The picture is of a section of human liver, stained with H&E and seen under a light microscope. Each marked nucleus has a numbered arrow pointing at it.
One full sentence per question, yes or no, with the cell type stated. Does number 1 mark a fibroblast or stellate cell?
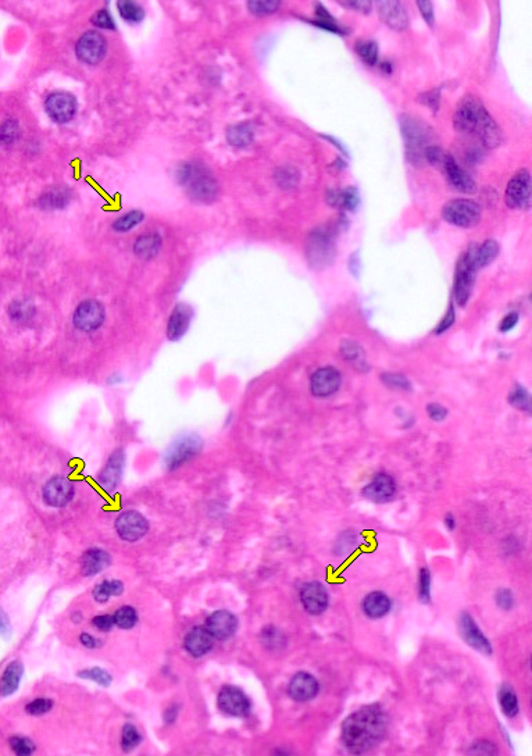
Yes, number 1 corresponds to a fibroblast or stellate cell.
